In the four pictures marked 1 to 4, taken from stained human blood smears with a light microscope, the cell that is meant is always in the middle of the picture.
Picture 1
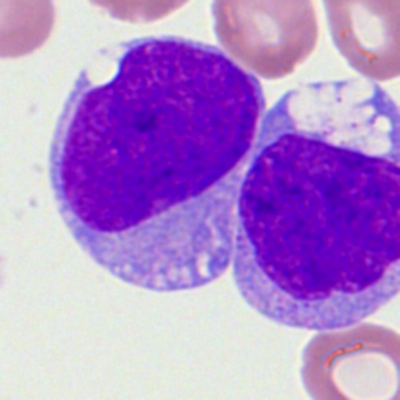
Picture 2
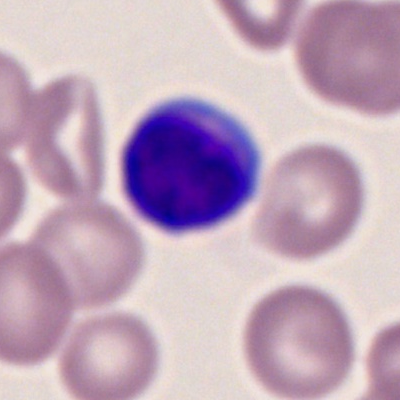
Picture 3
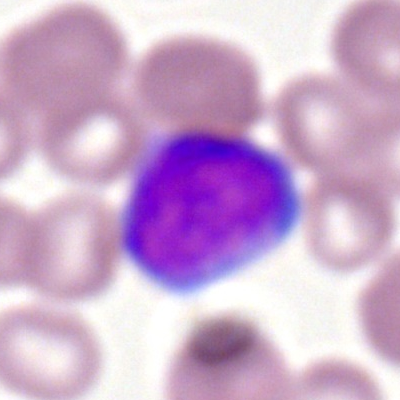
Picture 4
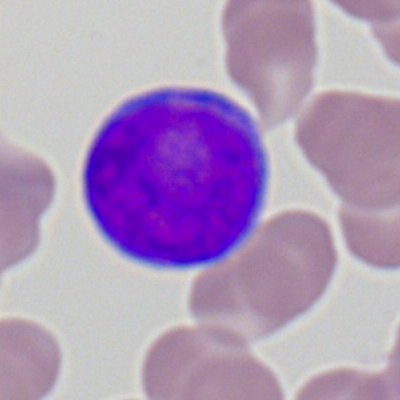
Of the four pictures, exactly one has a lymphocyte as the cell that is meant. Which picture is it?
2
